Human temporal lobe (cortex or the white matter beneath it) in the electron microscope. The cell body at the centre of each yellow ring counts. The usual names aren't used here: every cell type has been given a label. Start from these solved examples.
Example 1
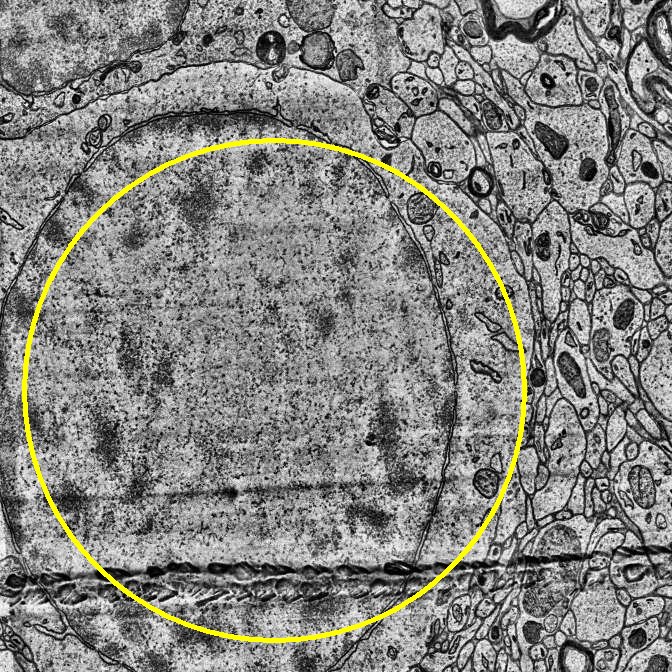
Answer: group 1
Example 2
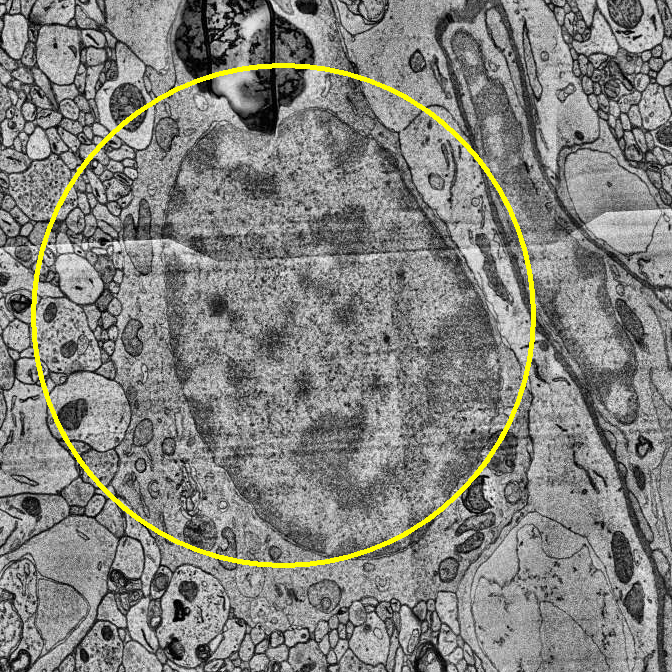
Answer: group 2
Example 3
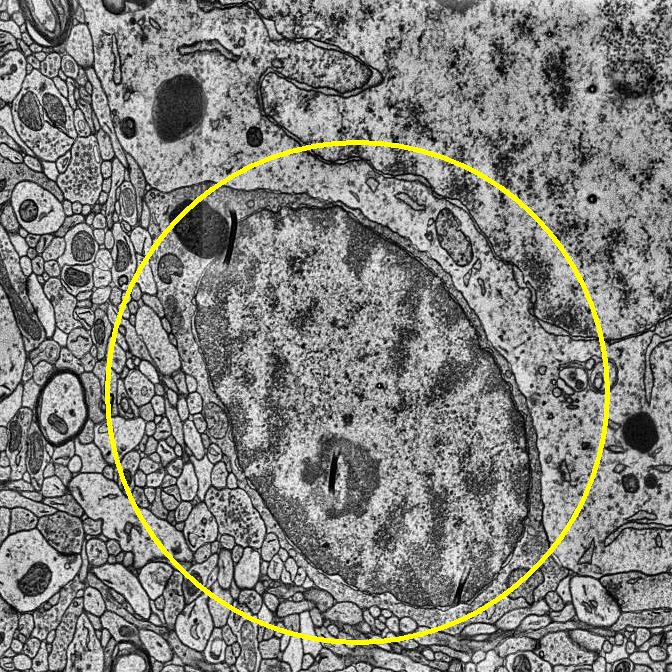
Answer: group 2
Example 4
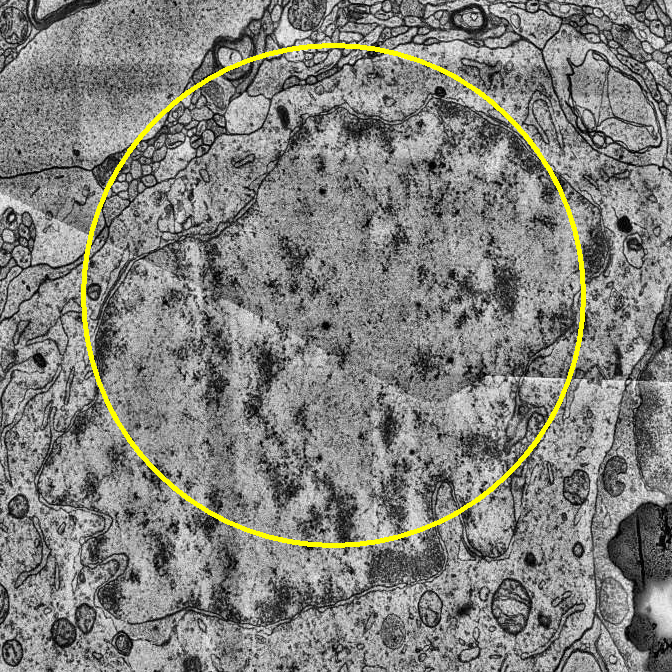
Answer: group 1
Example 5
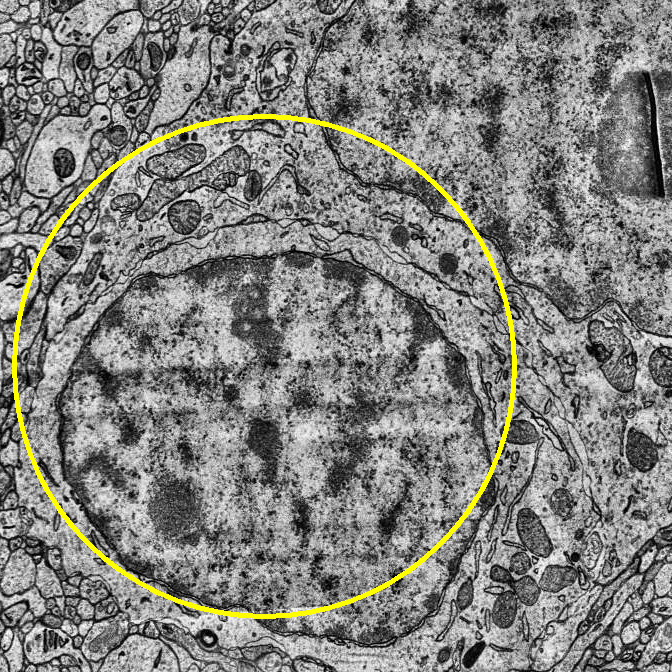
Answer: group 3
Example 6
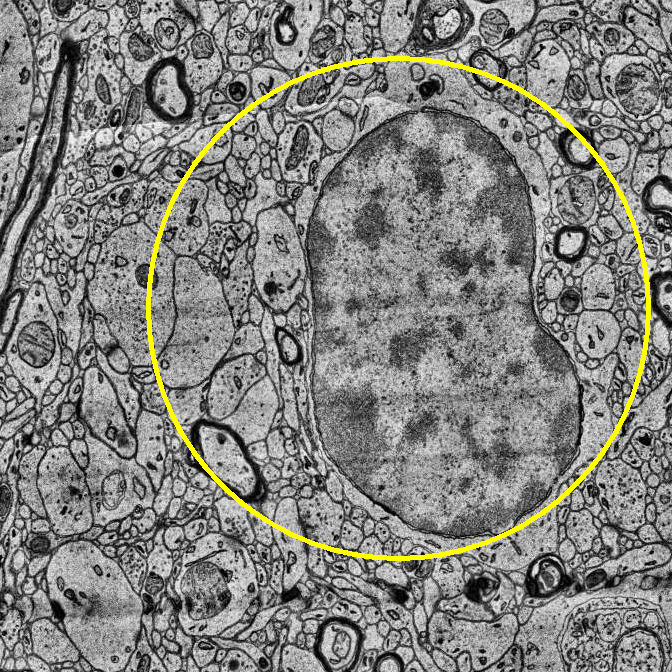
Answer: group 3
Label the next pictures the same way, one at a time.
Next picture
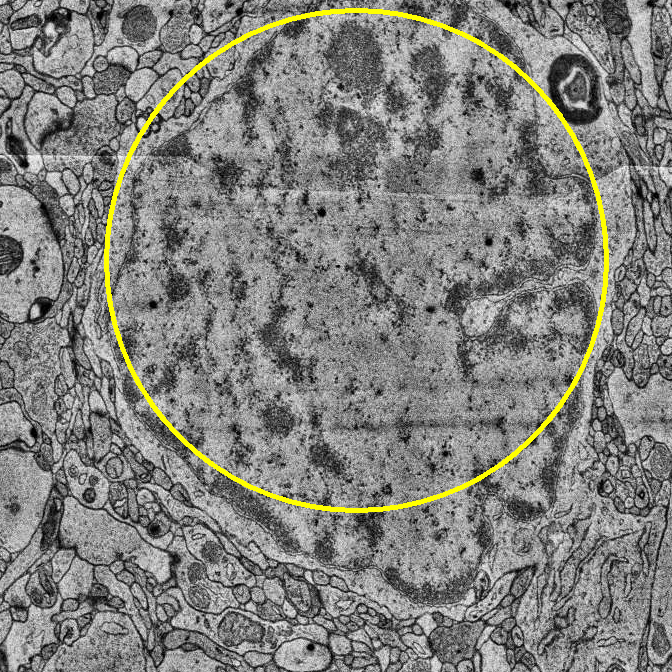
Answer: group 3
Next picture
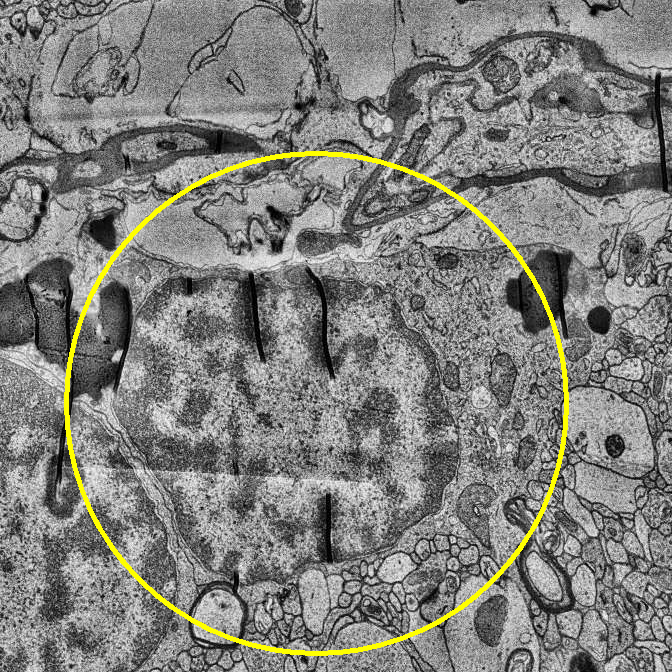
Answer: group 2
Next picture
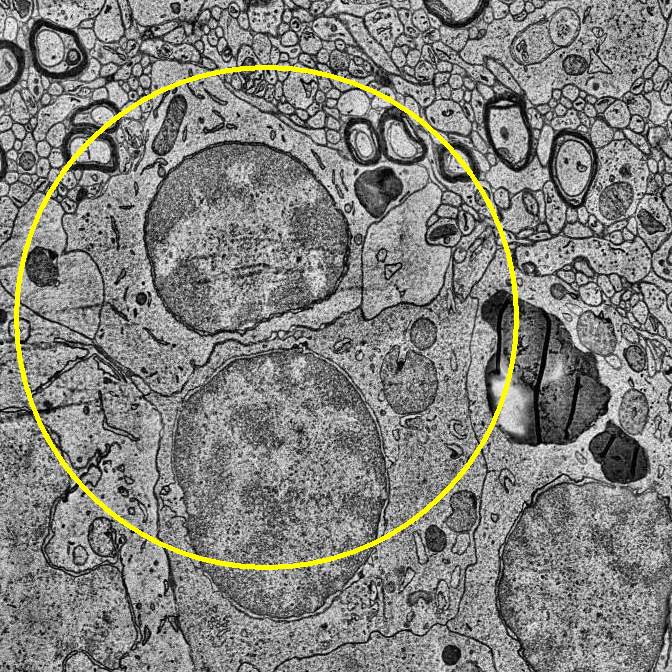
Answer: group 3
